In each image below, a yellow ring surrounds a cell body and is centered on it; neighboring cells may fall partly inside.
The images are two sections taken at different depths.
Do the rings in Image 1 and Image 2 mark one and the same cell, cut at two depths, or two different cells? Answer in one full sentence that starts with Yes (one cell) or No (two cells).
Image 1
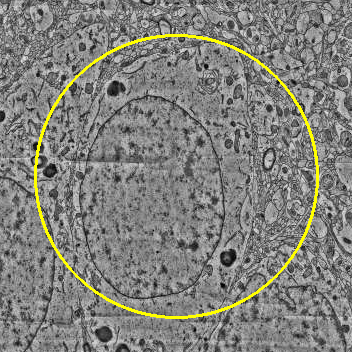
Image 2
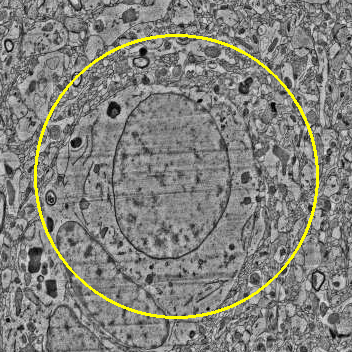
No, the two rings mark two different cells.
